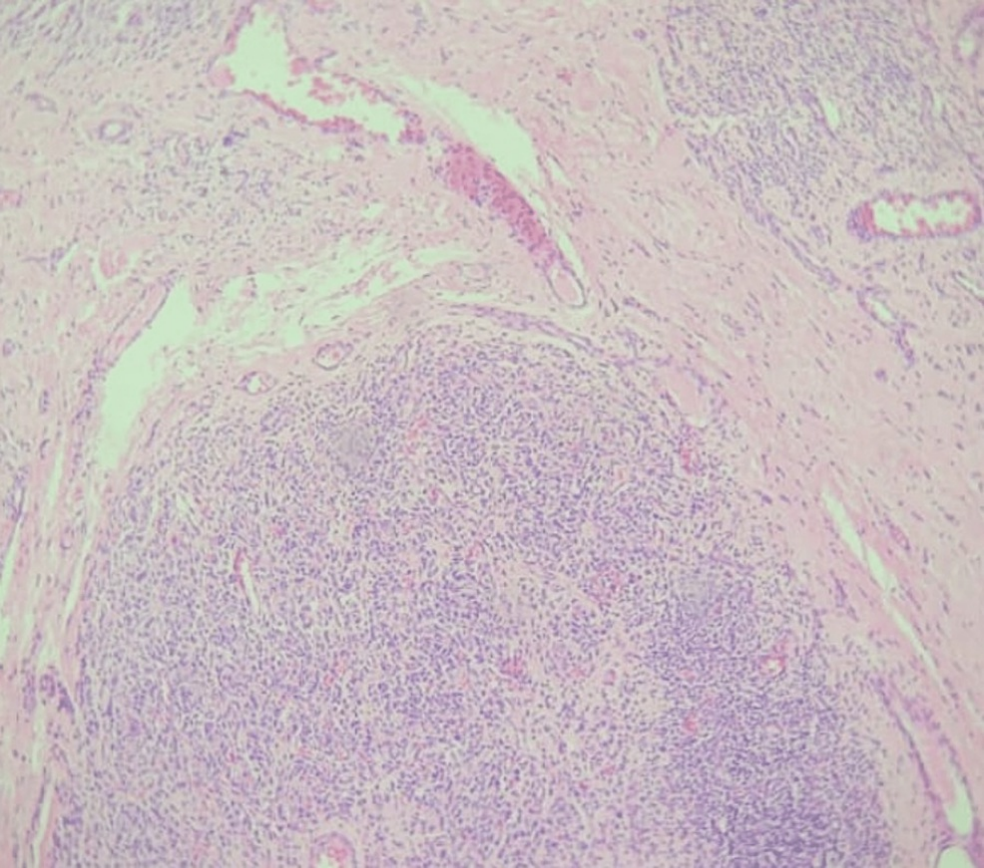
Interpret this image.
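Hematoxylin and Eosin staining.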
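A large, rounded, densely cellular nodule of small dark purple cells, in keeping with lymphocytes mixed with elongated cells, lies within pale pink collagenous tissue. A smaller cluster of dark cells appears at the upper right edge of the field.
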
